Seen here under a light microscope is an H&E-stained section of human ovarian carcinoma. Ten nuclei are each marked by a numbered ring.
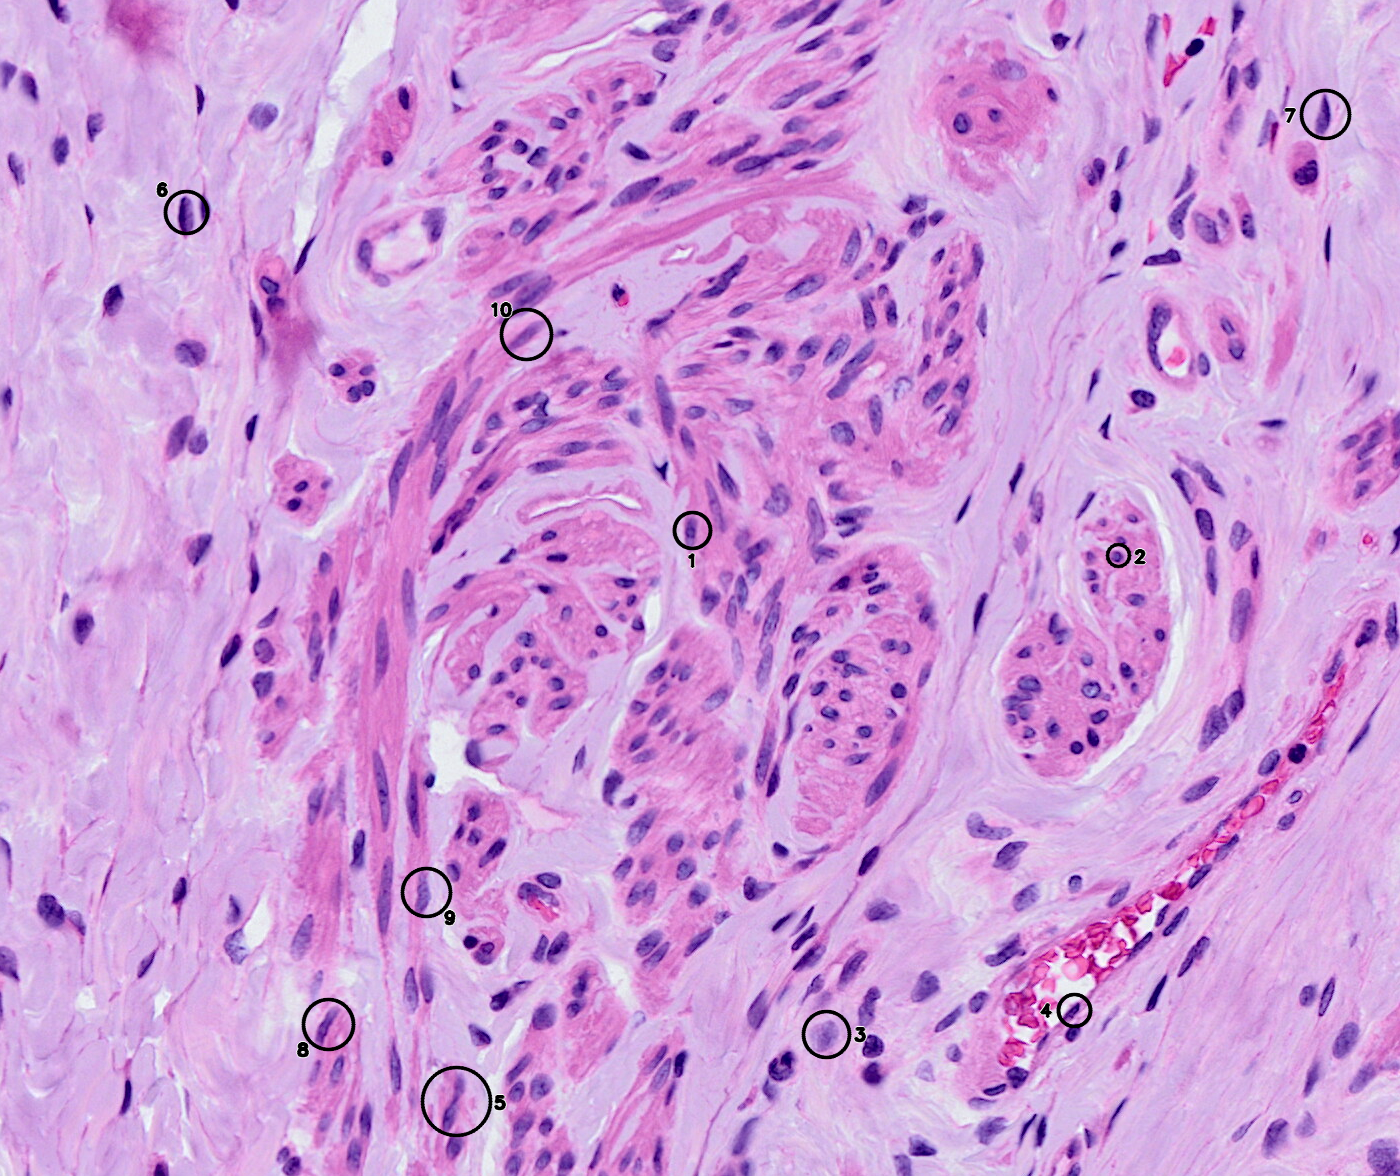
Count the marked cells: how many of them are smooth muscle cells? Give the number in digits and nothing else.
6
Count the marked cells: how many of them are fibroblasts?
3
